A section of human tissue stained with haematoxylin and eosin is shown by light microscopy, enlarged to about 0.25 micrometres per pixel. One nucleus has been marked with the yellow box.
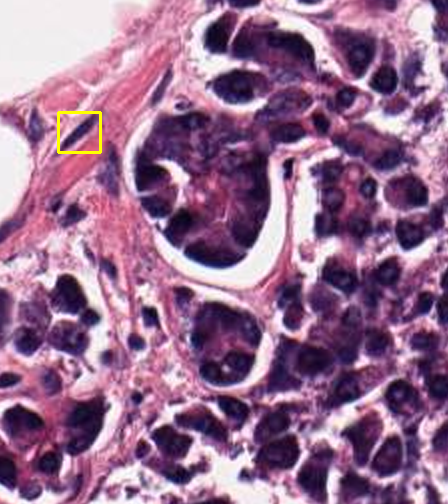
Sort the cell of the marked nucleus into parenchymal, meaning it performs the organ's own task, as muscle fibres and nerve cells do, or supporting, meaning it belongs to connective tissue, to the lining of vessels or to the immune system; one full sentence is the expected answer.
The marked nucleus belongs to a cell, and that cell is a supporting cell.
